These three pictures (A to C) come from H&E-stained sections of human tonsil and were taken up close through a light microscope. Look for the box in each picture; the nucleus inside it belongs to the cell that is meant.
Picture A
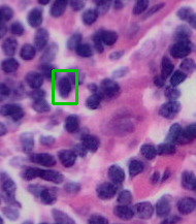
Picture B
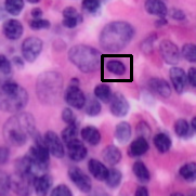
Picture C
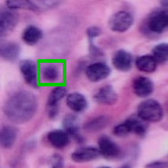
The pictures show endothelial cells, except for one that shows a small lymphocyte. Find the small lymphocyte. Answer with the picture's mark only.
A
